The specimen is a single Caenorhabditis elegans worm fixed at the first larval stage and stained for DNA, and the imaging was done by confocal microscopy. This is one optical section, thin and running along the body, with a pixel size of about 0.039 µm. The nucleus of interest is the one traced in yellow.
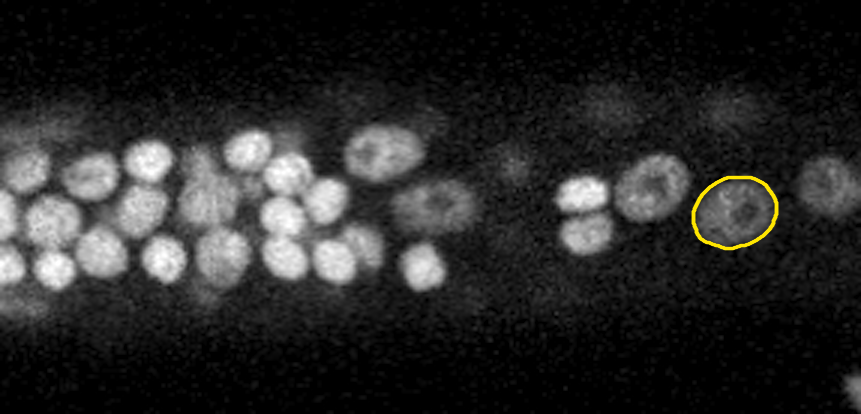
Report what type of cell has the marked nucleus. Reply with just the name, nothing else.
hypodermal cell (hyp)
